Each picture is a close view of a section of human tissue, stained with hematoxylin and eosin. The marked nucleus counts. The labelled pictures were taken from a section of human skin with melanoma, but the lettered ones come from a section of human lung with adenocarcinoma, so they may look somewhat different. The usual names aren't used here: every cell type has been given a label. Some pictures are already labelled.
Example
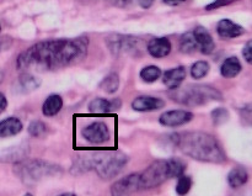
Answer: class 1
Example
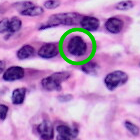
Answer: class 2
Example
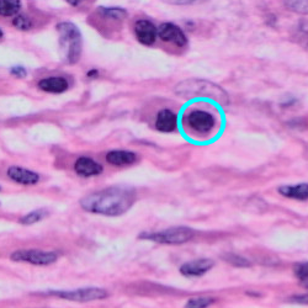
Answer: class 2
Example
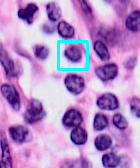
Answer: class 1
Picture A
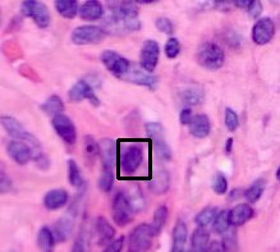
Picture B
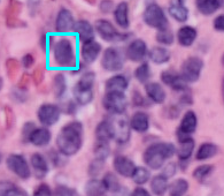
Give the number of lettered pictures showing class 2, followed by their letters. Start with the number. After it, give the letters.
Count: 1 (A)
